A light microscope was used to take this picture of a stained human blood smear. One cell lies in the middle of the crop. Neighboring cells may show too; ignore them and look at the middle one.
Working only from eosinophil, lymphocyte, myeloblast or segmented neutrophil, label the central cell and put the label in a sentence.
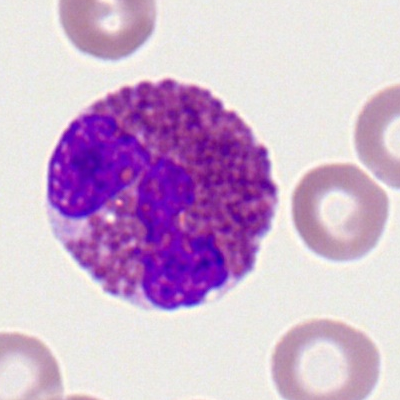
What the crop centres on is an eosinophil.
